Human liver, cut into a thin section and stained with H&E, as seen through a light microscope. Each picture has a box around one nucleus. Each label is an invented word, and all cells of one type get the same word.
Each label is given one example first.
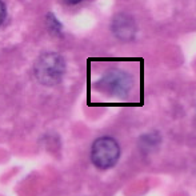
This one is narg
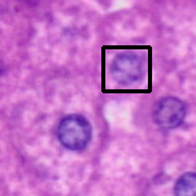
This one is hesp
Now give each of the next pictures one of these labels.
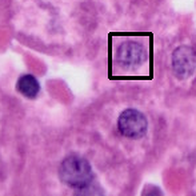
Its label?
hesp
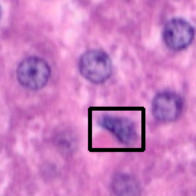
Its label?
narg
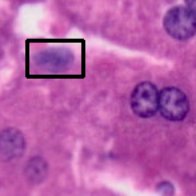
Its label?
narg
